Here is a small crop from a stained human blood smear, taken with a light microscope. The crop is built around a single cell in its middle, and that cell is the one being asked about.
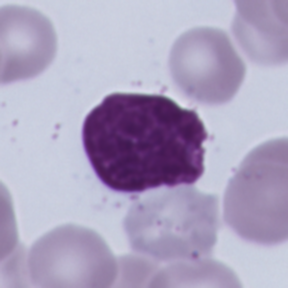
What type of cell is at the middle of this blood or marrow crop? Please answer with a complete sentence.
The cell that lies at the centre of the crop is a smudge cell.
